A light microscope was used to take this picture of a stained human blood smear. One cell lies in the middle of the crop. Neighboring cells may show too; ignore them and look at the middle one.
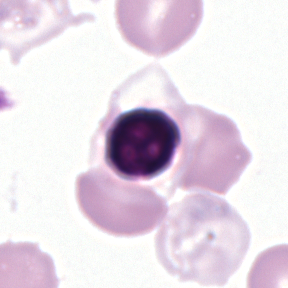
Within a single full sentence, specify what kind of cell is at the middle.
At the center of the crop sits a normoblast.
